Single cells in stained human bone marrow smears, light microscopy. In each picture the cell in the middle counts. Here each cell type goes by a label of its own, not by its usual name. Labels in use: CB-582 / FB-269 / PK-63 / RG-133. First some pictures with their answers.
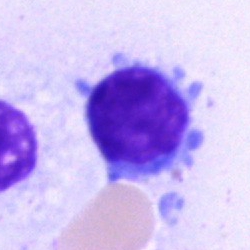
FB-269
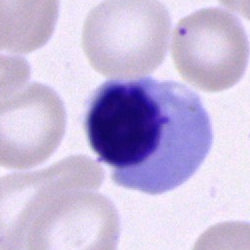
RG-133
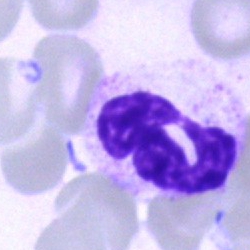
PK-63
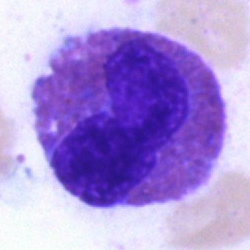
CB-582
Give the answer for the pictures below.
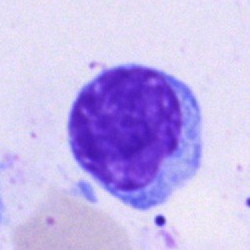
FB-269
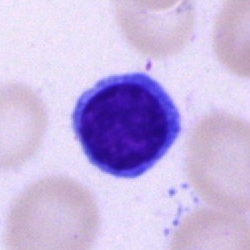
FB-269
